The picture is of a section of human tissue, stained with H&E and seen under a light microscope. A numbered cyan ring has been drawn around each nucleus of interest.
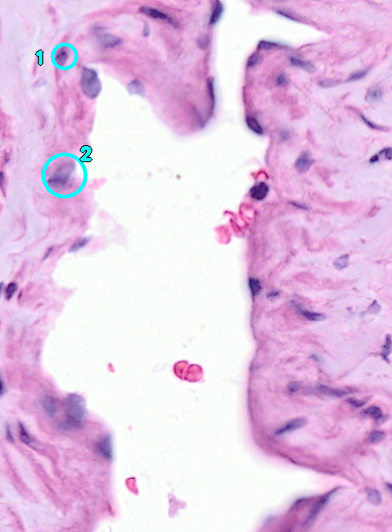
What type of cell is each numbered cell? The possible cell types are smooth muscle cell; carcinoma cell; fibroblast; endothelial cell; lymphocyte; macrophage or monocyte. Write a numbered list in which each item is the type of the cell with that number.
1. smooth muscle cell
2. endothelial cell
